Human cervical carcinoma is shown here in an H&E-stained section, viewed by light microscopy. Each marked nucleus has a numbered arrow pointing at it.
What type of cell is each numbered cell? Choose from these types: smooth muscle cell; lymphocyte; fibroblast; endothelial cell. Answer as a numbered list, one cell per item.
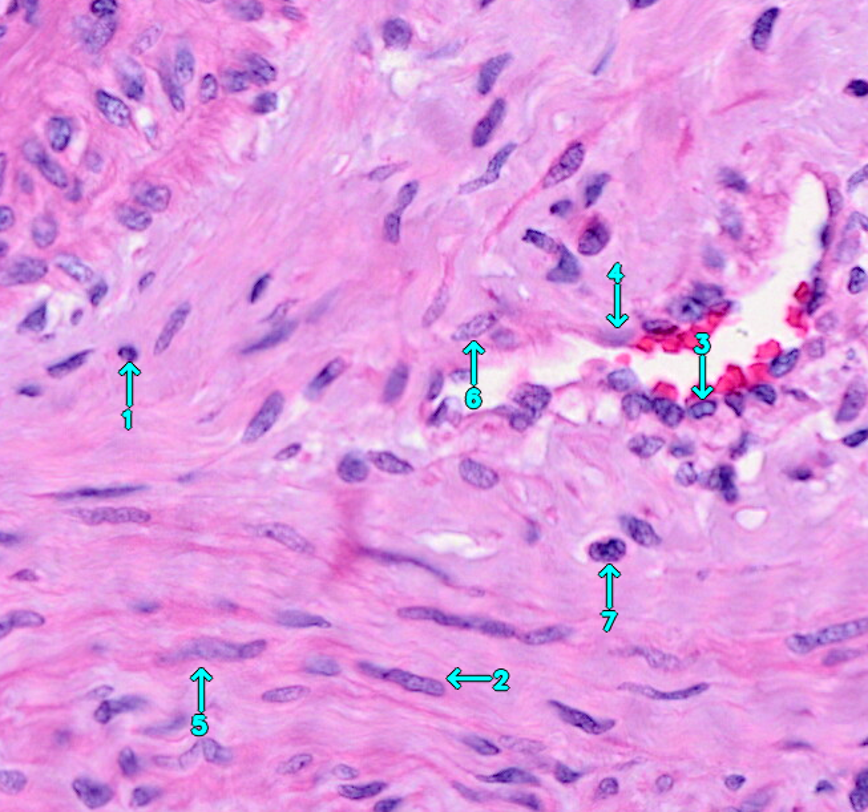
1. fibroblast
2. smooth muscle cell
3. endothelial cell
4. endothelial cell
5. smooth muscle cell
6. smooth muscle cell
7. lymphocyte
